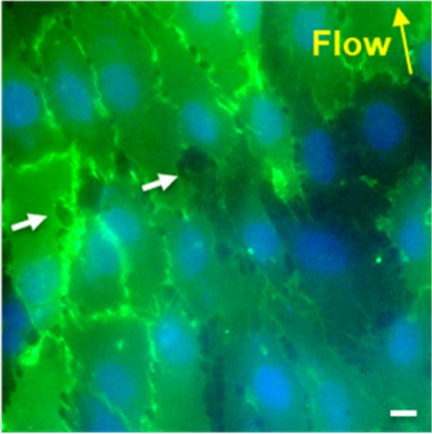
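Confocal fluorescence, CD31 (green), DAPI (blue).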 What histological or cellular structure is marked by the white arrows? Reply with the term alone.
small pores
